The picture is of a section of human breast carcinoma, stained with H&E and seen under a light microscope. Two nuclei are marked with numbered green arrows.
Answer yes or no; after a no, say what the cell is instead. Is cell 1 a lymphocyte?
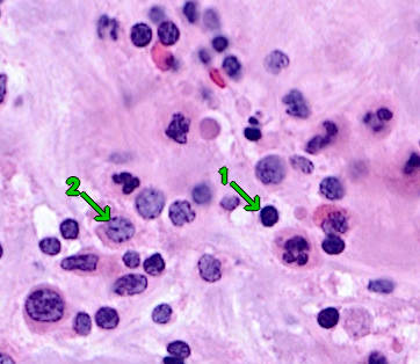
Yes.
